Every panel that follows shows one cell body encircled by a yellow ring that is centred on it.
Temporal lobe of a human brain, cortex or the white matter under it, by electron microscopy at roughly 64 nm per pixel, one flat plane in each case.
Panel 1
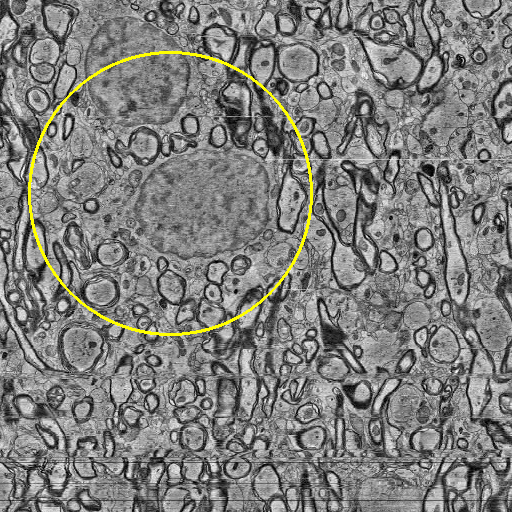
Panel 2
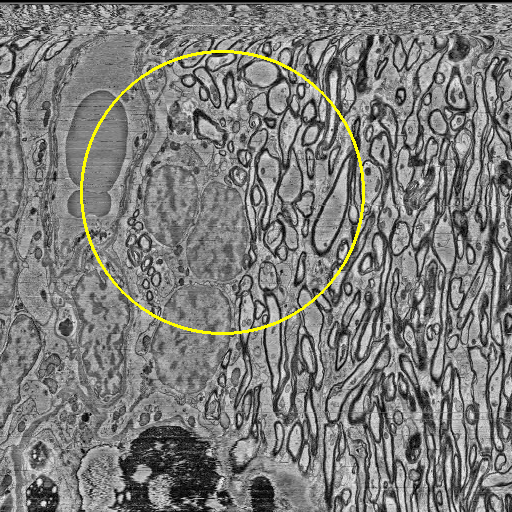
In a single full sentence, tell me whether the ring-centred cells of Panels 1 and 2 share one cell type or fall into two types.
In Panel 1 and Panel 2, the cells at the ring centres share one cell type.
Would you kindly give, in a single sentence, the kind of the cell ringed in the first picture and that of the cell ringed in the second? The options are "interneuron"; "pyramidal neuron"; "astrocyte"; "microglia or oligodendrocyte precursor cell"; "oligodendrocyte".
Both cells are the same kind, each one being an oligodendrocyte.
